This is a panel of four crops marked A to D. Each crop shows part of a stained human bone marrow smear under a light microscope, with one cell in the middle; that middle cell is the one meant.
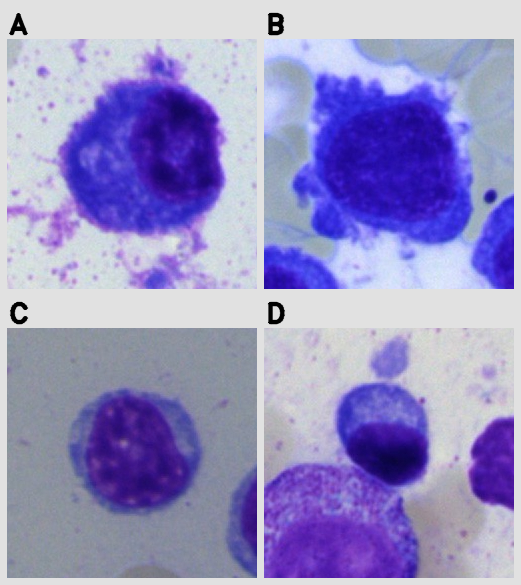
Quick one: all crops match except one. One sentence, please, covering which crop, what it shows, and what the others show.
Crop C is the only crop with a lymphocyte, the others all showing plasma cells.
